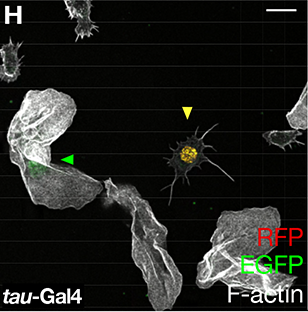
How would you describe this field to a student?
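The lamellocytes have folded, sheet-like bodies with streaky actin, and one of them shows a faint green area near its edge. In the middle lies a small cell with many long thin spiky processes and a nucleus appearing yellow from red and green together. Other small spiky cells lie at the upper edge of the field. The flat cells are many times larger than the spiky ones.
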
